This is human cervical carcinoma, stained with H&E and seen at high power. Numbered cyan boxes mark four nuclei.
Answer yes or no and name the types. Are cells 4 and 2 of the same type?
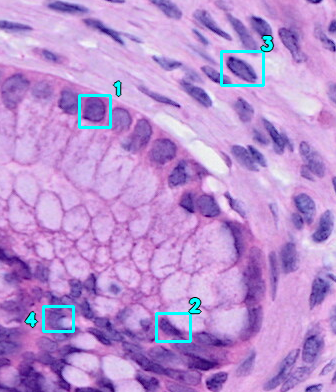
Yes, the cells numbered 4 and 2 are both secretory epithelial cells.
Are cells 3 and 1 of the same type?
No, cell 3 is a fibroblast, and cell 1, in contrast, is a secretory epithelial cell.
